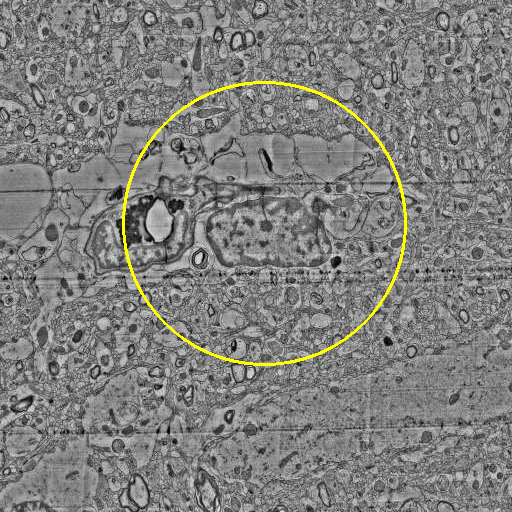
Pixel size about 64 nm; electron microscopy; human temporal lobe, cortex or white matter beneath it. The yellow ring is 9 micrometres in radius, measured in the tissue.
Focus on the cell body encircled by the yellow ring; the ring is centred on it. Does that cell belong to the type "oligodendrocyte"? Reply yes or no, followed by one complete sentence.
No, the cell lying at the centre of the ring in the picture is another type.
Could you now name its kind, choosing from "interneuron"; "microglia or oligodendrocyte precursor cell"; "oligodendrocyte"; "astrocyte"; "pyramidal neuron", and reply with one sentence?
The cell ringed in the picture is a microglial cell or oligodendrocyte precursor cell.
